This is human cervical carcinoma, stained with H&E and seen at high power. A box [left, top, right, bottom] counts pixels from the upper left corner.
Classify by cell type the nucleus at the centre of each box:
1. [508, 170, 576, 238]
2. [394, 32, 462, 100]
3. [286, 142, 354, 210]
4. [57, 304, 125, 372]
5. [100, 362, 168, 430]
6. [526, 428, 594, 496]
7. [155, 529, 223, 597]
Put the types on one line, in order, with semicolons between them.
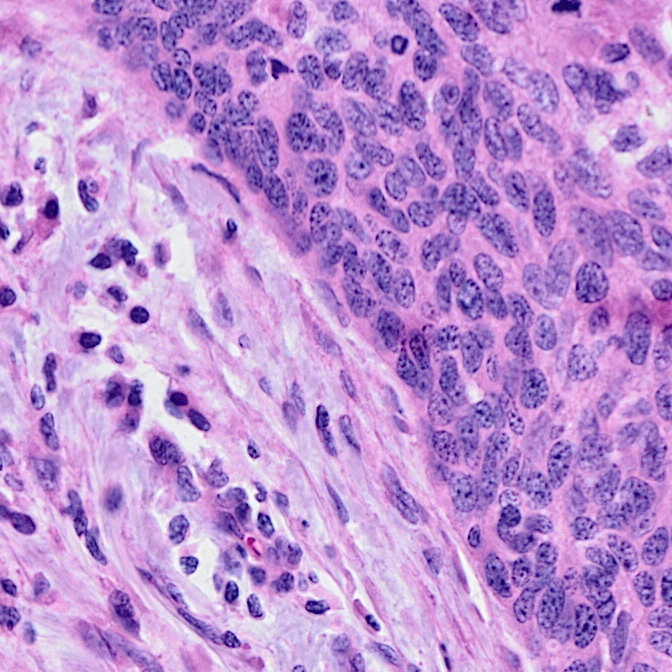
squamous carcinoma cell; squamous carcinoma cell; squamous carcinoma cell; lymphocyte; lymphocyte; squamous carcinoma cell; lymphocyte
